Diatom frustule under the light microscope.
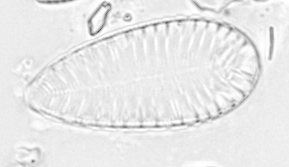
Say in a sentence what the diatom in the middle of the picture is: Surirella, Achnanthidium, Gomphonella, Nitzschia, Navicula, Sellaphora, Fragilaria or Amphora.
This is Surirella.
